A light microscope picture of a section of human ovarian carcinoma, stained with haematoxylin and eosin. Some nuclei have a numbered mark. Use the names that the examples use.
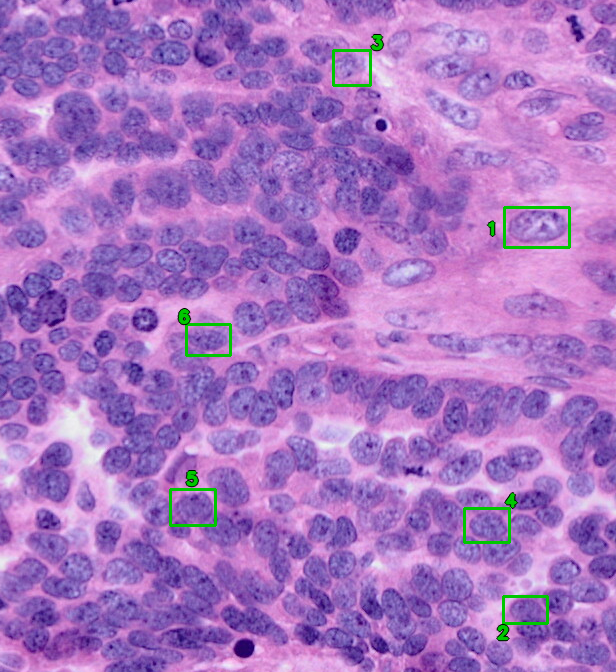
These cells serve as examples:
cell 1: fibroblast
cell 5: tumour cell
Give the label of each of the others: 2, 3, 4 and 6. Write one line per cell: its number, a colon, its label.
2: tumour cell
3: fibroblast
4: tumour cell
6: tumour cell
